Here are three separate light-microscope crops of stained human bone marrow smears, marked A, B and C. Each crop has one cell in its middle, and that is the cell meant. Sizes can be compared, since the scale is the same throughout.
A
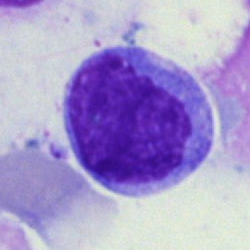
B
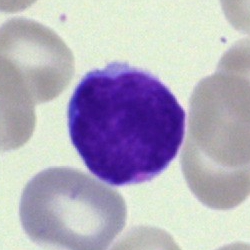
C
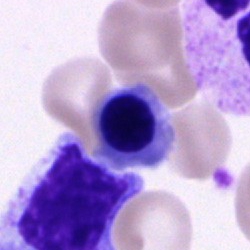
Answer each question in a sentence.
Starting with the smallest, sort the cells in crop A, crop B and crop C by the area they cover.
From the smallest up, the order is C, B, A.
